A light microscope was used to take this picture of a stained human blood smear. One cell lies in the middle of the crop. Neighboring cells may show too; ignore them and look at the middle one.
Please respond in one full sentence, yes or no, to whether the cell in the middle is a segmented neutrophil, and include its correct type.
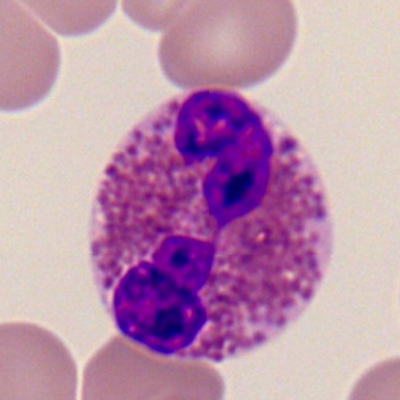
No, the cell in the centre is an eosinophil instead of a segmented neutrophil.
